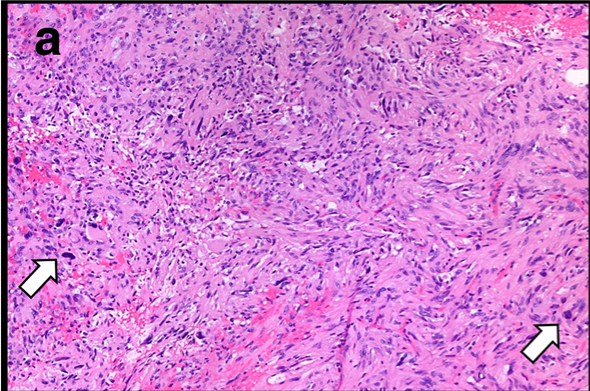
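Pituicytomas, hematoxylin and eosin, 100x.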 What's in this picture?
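This densely cellular tumor consists of spindle cells with eosinophilic cytoplasm arranged in loose fascicles. Most nuclei are elongated and dark purple, while scattered cells have enlarged, hyperchromatic, irregular nuclei that stand out from their neighbours. Small areas of red blood cells lie between the cell bundles.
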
